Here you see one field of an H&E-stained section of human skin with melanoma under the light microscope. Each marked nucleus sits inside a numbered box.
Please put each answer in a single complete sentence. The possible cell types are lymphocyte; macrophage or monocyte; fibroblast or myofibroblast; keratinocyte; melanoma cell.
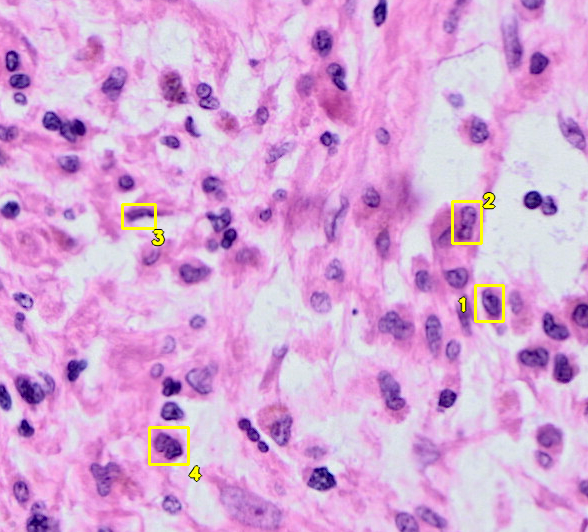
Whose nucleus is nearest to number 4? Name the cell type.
The nearest nucleus to number 4 belongs to a lymphocyte.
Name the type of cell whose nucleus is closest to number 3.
It is a macrophage or monocyte whose nucleus is nearest to number 3.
